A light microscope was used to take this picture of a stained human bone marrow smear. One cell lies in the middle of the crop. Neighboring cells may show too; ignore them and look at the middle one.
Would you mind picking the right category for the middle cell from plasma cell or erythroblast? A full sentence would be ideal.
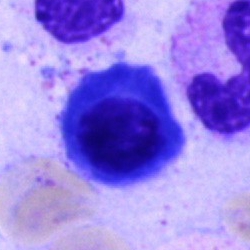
The cell at the centre of the field is a plasma cell.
